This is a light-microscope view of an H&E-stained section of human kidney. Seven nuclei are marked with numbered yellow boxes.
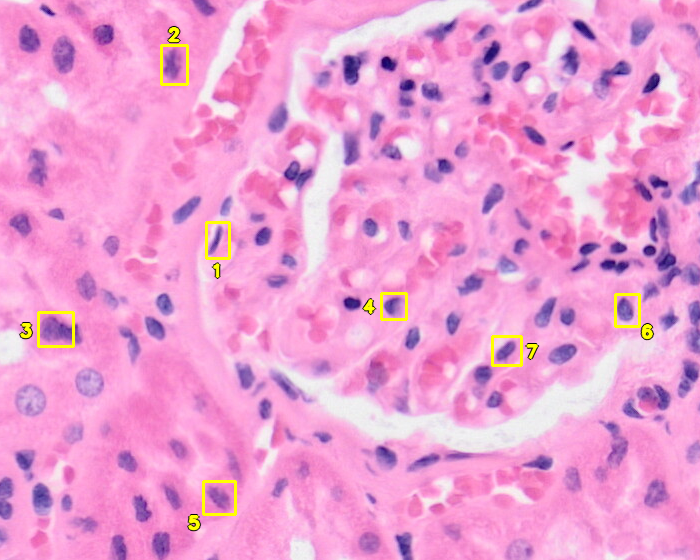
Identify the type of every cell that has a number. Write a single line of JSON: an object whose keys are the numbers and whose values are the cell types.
{"1": "endothelial cell", "2": "proximal tubule cell", "3": "proximal tubule cell", "4": "endothelial cell", "5": "proximal tubule cell", "6": "endothelial cell", "7": "endothelial cell"}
